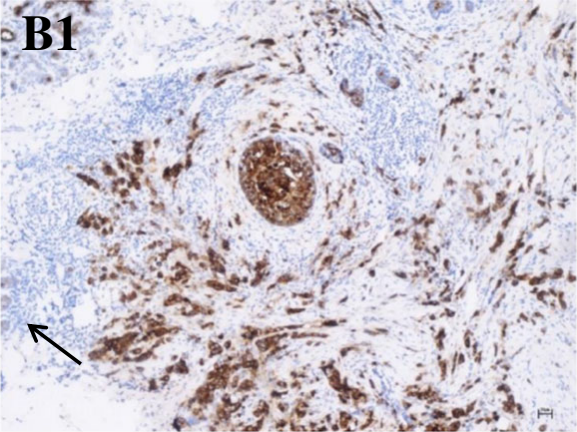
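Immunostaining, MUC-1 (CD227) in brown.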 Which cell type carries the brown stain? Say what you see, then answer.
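Many elongated and irregular brown cells are scattered through the stroma. A rounded brown cell nest lies in the centre. Glandular tissue at the left is pale blue. On this evidence: infiltrating tumor cells.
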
